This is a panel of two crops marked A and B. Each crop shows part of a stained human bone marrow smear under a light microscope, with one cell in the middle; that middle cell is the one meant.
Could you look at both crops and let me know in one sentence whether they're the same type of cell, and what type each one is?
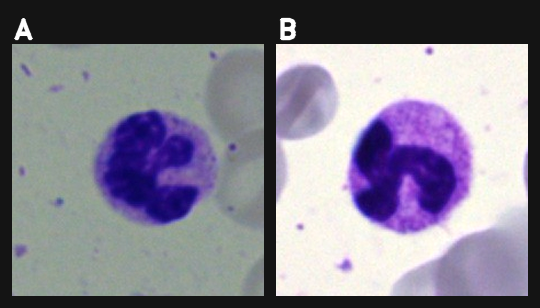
Yes, both crops show segmented neutrophils, and the two match.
